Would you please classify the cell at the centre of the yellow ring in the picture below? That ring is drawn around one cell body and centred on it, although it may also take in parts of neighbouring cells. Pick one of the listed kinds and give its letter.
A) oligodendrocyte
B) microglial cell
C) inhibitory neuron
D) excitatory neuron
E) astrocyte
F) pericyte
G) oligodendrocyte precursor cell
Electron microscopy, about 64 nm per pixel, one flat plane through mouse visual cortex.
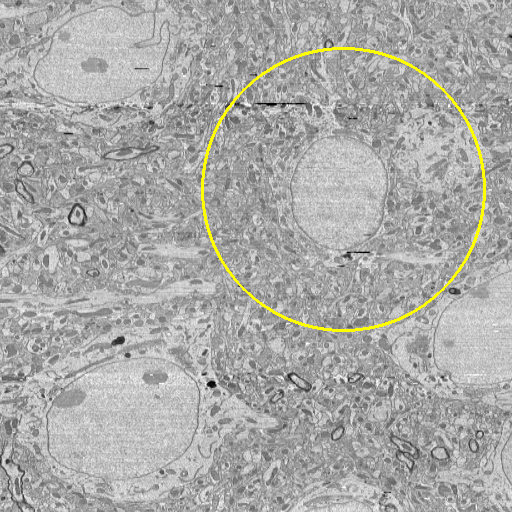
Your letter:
E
